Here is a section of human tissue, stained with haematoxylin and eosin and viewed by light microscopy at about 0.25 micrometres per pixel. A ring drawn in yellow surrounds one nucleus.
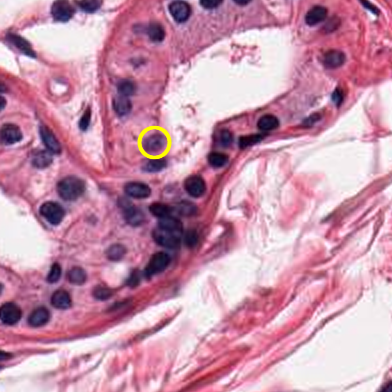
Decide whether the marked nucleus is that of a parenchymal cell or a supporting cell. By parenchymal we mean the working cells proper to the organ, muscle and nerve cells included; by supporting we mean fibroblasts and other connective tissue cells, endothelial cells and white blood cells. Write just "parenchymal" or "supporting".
parenchymal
